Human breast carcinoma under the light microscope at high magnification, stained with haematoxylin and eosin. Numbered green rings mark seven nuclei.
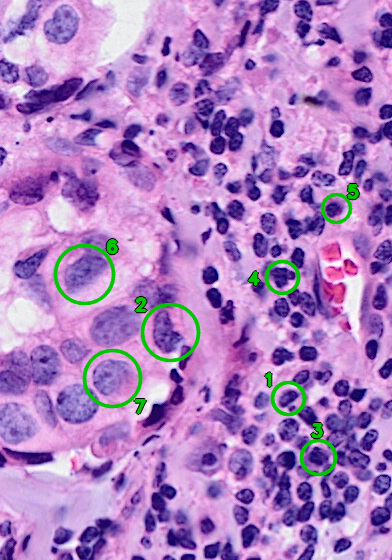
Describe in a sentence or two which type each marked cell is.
Cells 1, 3, 4 and 5 are lymphocytes. Cells 2, 6 and 7 are carcinoma cells.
